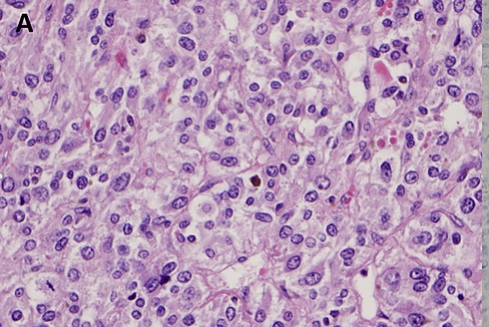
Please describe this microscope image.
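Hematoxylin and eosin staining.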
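The cells have round to oval nuclei with fine chromatin and visible nucleoli, and abundant finely granular, pale purplish (amphophilic) cytoplasm. Some cells show cleared vacuolated spaces, and a few red blood cells lie between them.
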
